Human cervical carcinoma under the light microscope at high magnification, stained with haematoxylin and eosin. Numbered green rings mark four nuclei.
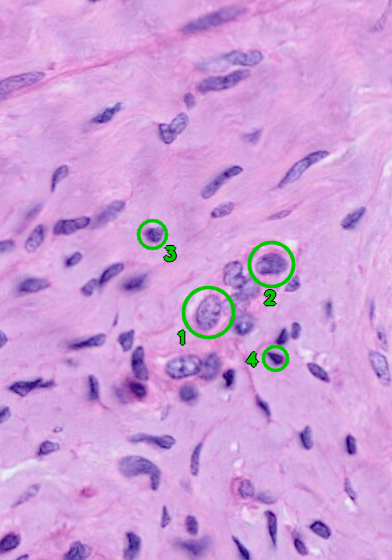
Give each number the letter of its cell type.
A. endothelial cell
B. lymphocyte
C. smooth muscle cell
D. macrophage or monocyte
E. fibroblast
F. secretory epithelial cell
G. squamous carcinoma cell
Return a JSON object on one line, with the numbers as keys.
{"1": "A", "2": "A", "3": "E", "4": "E"}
